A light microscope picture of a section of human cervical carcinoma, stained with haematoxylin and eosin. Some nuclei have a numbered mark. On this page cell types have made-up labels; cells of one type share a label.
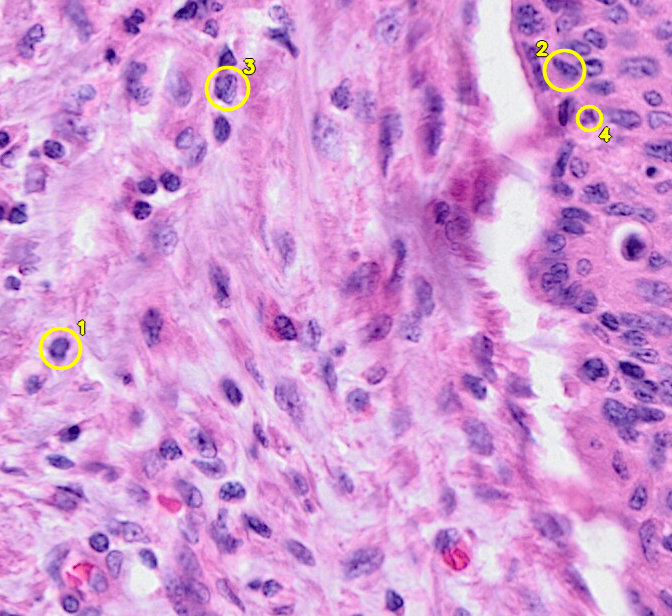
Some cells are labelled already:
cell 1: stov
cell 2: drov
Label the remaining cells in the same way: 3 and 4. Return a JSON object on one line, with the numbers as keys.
{"3": "stov", "4": "drov"}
